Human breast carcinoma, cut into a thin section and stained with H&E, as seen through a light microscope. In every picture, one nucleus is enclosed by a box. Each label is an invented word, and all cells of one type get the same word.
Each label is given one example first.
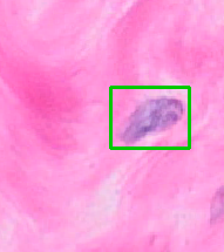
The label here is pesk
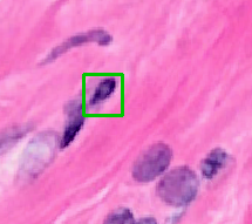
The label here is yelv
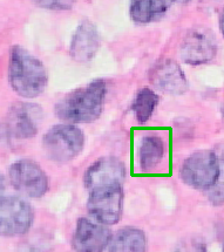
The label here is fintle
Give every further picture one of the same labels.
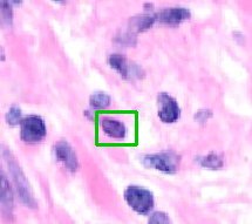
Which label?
yelv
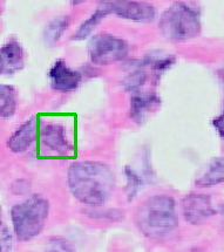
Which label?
fintle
